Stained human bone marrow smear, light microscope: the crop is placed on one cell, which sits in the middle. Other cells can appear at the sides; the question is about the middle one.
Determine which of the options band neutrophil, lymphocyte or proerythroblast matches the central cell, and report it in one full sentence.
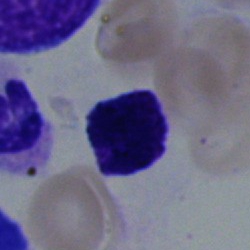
The cell in the exact centre of the crop is a lymphocyte.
